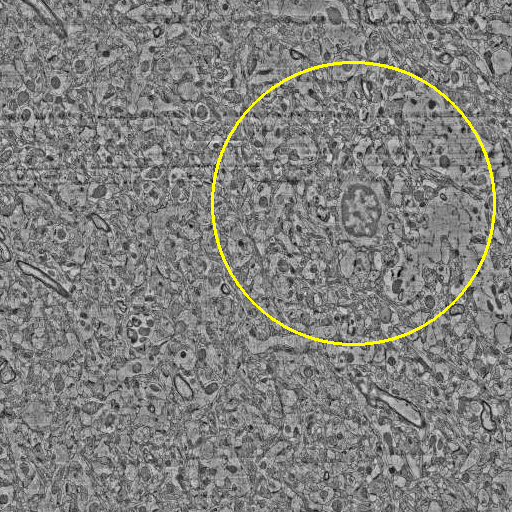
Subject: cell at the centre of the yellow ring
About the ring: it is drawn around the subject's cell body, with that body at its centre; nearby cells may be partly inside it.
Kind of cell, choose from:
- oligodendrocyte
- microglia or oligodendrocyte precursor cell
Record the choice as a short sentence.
The subject cell is an oligodendrocyte.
